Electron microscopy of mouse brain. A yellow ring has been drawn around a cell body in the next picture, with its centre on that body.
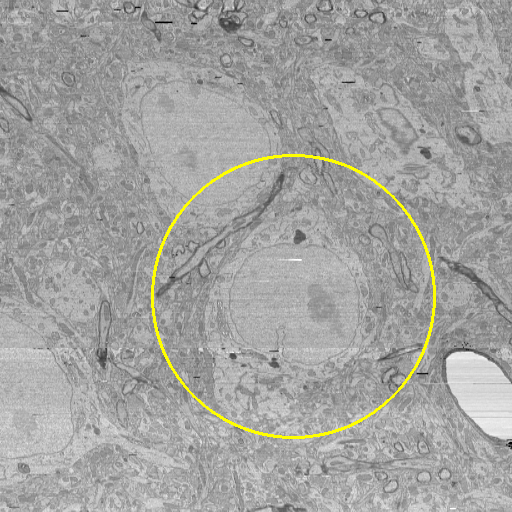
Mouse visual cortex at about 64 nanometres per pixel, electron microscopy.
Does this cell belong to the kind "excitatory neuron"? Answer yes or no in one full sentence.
Yes, the ringed cell in this picture, sitting at the ring's centre, is of that kind.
